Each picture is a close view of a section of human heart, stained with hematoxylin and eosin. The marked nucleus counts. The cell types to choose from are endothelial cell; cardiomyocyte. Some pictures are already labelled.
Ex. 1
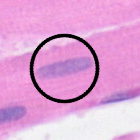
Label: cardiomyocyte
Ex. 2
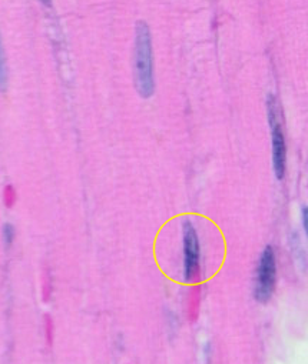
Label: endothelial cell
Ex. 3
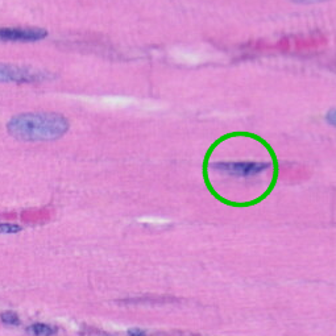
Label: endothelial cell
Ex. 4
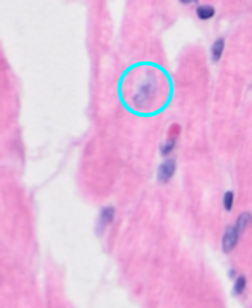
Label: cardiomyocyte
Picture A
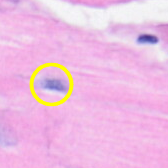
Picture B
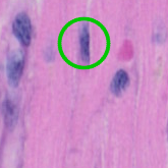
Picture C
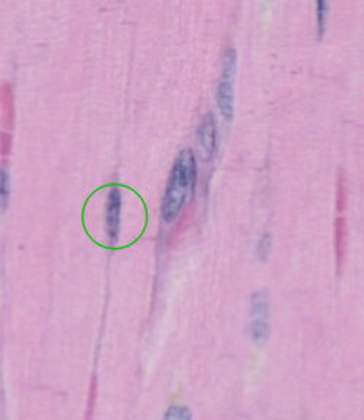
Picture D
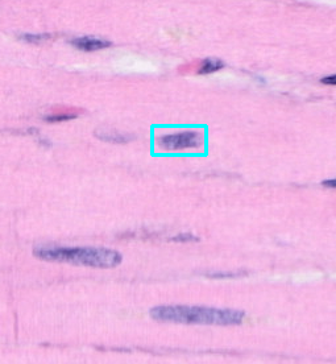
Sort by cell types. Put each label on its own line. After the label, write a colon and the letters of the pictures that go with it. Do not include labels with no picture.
endothelial cell: A, B, C, D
